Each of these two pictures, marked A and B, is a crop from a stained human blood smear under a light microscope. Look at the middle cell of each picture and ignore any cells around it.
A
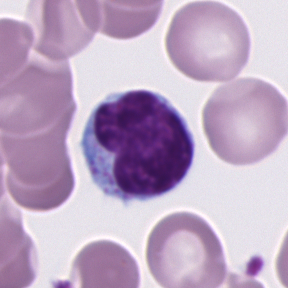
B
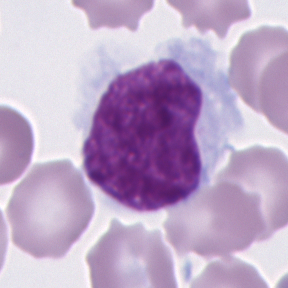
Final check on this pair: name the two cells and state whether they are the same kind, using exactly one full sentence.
No, a typical lymphocyte occupies the middle of crop A, and a hairy cell the middle of crop B.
